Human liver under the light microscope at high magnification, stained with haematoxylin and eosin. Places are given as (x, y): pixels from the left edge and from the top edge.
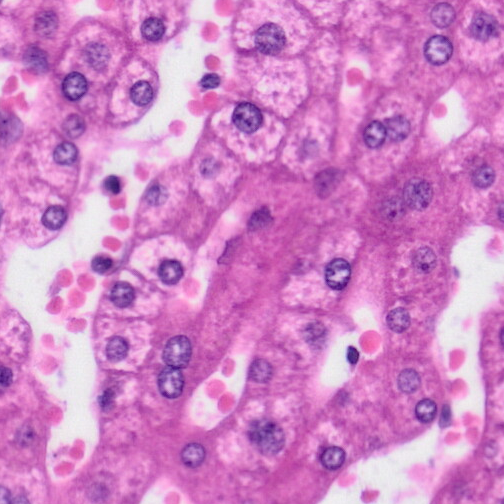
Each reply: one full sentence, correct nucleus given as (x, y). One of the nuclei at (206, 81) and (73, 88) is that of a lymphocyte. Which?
In this pair, the nucleus at (206, 81) belongs to a lymphocyte.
